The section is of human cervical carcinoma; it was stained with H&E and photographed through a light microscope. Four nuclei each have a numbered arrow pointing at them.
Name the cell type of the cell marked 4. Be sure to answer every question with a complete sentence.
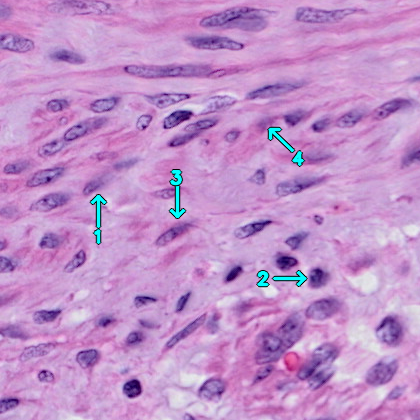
Cell 4 of the marked set is a smooth muscle cell.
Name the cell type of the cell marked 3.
Number 3 is placed on a smooth muscle cell here.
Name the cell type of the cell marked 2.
Belonging to a lymphocyte is the nucleus that carries the number 2.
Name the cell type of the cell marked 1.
The cell whose nucleus carries the number 1 is a smooth muscle cell.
